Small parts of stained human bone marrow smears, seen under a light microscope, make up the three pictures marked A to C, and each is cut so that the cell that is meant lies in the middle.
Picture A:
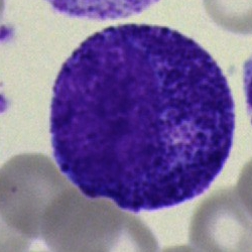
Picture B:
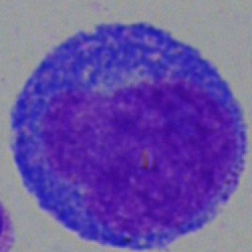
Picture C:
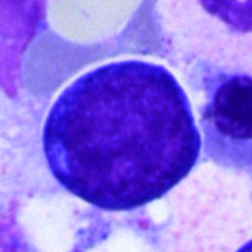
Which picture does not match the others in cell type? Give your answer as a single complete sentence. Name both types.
Picture C is the odd one out: it shows a proerythroblast, while the others show promyelocytes.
